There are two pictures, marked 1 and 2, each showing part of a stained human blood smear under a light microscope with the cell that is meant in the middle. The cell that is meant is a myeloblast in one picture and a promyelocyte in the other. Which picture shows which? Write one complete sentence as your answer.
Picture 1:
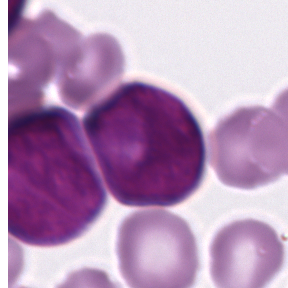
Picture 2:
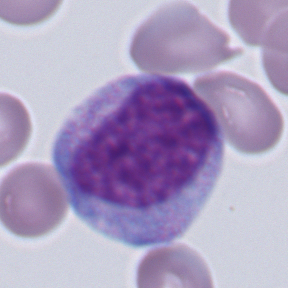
It is picture 1 that shows a myeloblast, and picture 2 that shows a promyelocyte.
